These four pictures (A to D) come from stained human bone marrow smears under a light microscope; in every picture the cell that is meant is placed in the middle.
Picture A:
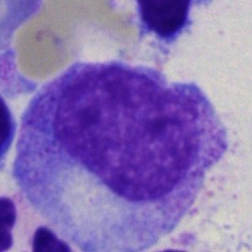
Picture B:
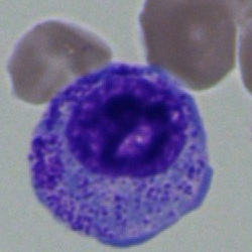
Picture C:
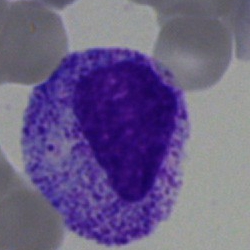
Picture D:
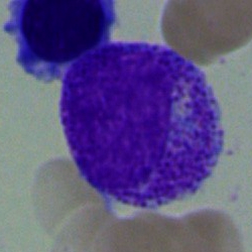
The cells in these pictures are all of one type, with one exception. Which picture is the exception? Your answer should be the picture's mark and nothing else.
A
